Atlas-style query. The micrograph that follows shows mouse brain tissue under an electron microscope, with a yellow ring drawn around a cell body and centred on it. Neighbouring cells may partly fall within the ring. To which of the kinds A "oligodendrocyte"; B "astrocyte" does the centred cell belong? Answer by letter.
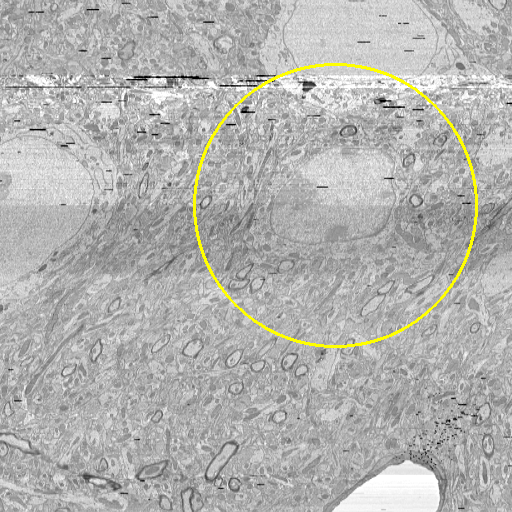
B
